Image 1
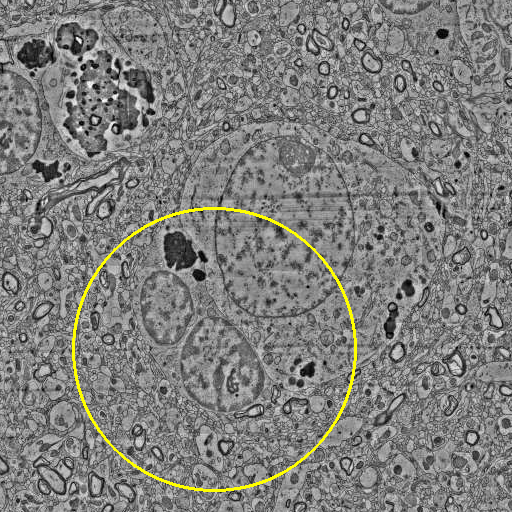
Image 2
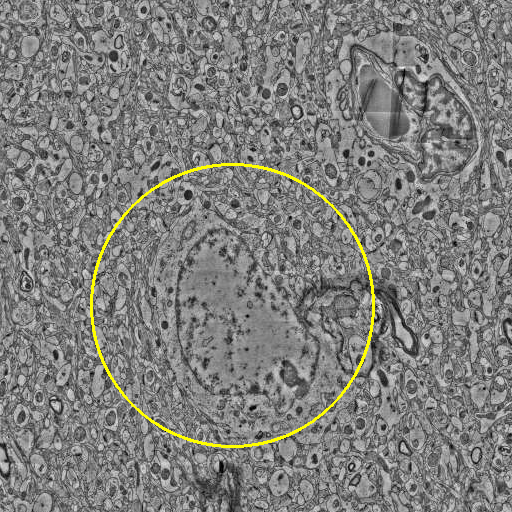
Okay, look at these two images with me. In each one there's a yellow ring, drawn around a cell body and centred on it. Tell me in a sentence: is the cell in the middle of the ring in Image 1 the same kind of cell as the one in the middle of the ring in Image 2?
No, they're two kinds of cell.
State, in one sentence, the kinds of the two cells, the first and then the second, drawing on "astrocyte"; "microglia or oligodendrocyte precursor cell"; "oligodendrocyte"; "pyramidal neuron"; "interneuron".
The ring in the second picture is centred on an interneuron, the ring in the first on an oligodendrocyte.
